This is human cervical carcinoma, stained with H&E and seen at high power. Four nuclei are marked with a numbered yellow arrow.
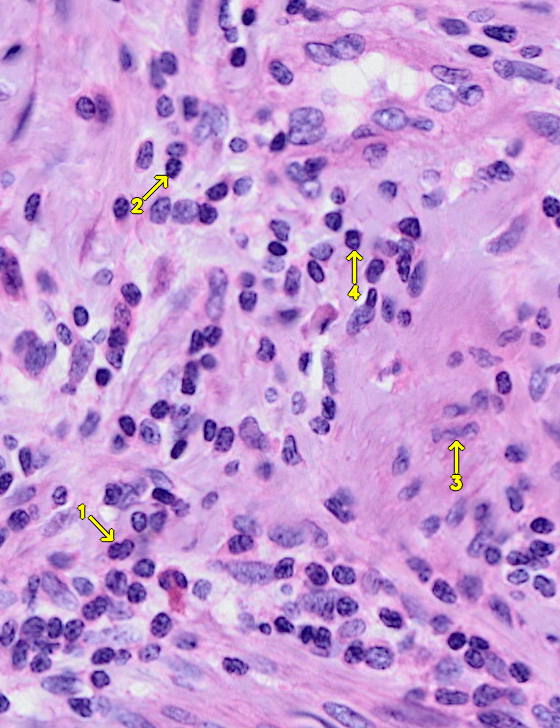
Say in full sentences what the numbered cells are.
Cell 1 is a lymphocyte, cell 2 is a lymphocyte, cell 3 is a smooth muscle cell and cell 4 is a lymphocyte.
